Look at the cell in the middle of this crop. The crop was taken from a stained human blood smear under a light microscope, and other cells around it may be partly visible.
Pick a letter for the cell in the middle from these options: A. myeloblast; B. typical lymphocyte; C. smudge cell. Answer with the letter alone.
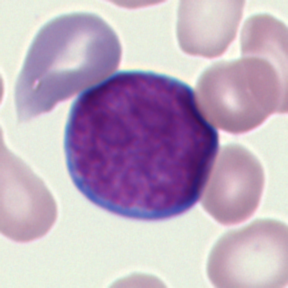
A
